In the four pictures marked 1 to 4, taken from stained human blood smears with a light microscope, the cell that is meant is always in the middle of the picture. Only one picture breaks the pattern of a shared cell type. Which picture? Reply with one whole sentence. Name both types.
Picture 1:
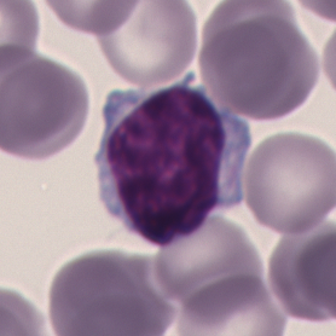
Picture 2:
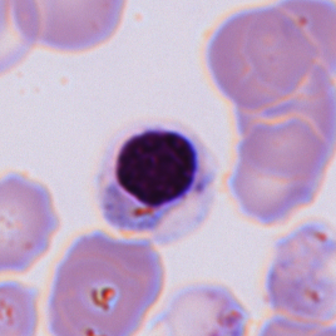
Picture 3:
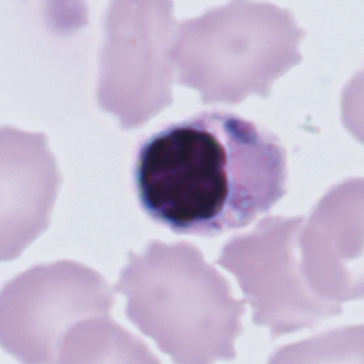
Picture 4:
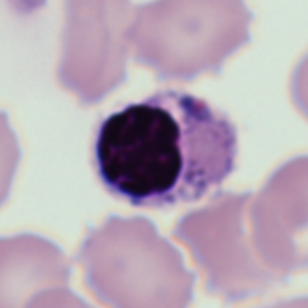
Picture 1 differs, because its cell is a typical lymphocyte and the rest are normoblasts.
